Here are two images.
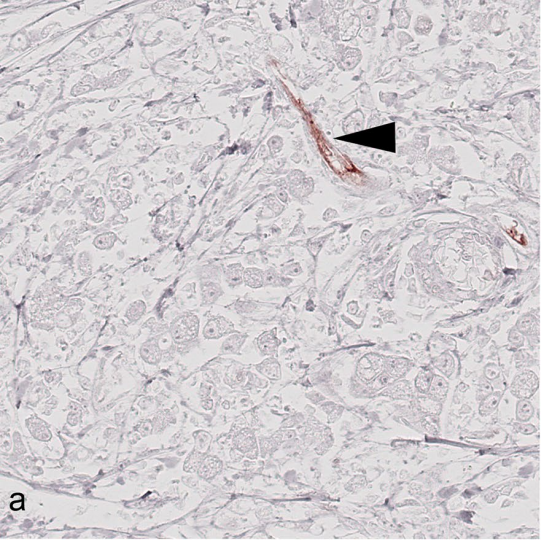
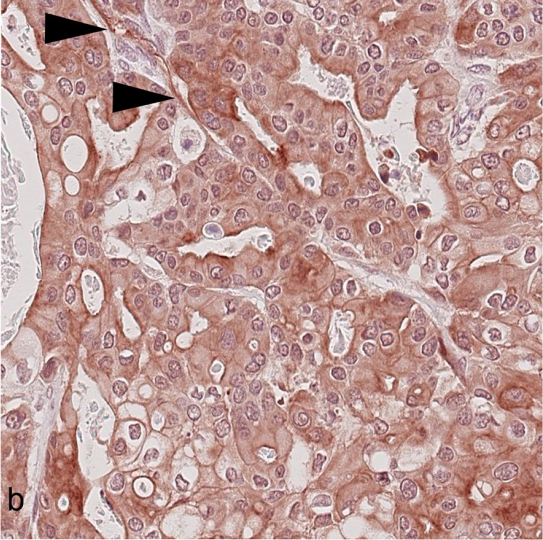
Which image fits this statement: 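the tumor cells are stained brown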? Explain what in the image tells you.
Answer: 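The second image. Second image: sheets of tumor cells have cell bodies filled with brown stain.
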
